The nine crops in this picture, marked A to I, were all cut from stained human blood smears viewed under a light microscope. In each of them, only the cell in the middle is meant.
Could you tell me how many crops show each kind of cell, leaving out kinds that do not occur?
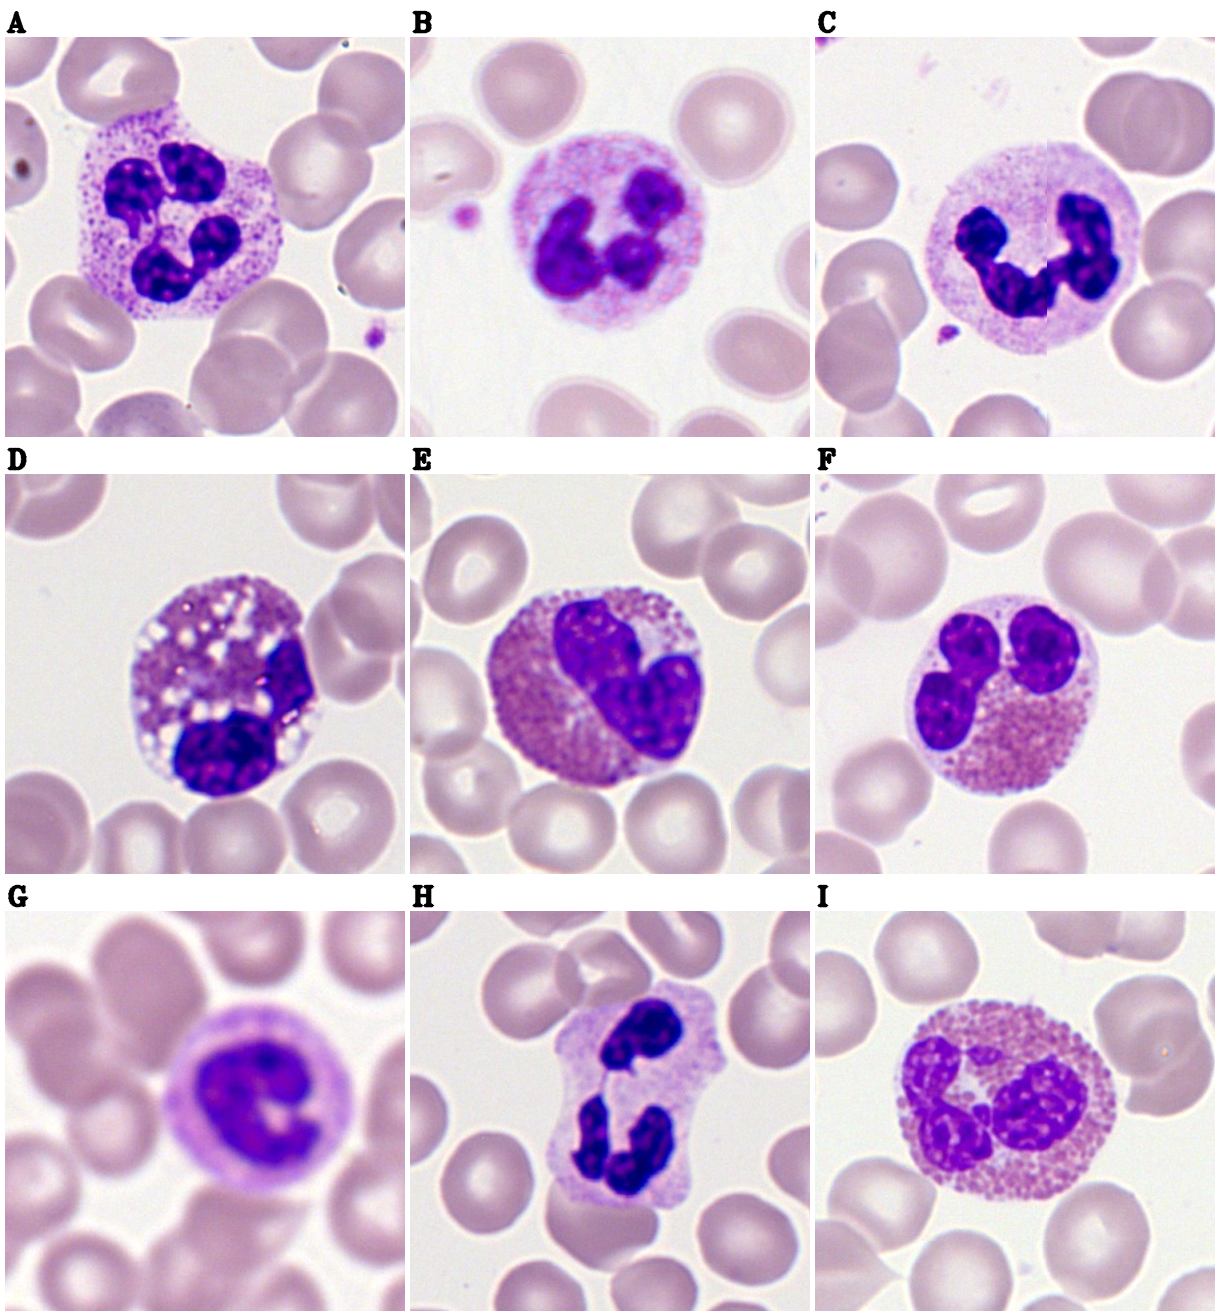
segmented neutrophil: 5
eosinophil: 4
